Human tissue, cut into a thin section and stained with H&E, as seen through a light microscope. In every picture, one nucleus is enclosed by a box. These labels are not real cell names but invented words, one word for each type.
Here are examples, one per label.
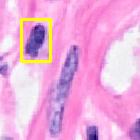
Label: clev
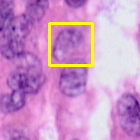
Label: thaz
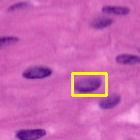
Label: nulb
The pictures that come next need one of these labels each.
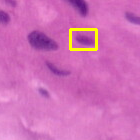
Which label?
nulb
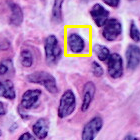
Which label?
clev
